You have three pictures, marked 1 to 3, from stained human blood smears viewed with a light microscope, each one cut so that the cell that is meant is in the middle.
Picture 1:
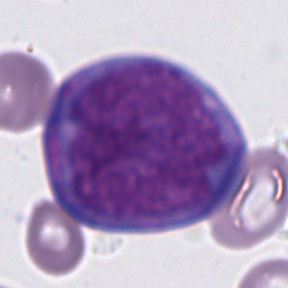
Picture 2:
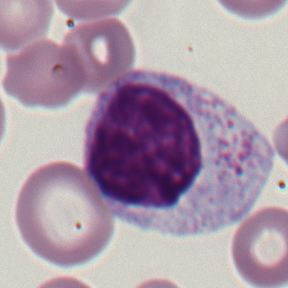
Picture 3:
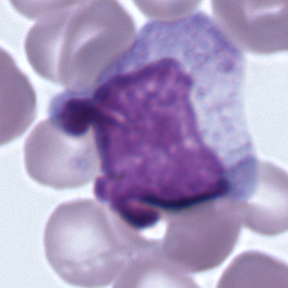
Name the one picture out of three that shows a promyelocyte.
1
